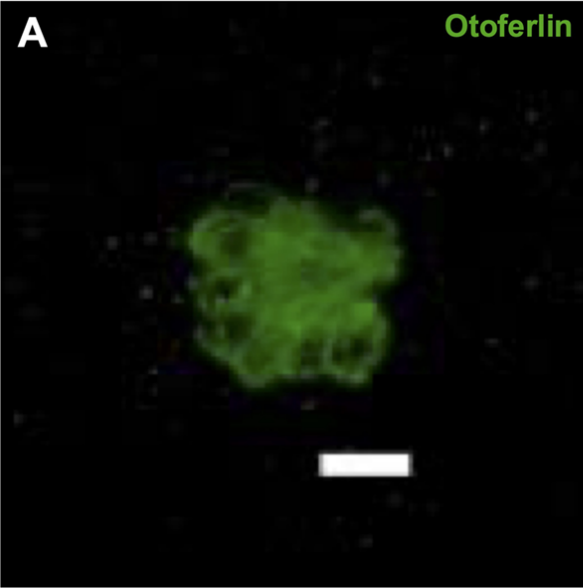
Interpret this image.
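A single compact, roughly round cluster of cells glows green against a dark field. Within it, many rounded cell outlines are drawn by brighter green rims, overlapping one another and packed tightly together like a small bouquet, with their bodies converging toward the middle of the cluster. Nothing else is labelled nearby apart from a few faint specks. This arrangement of a small, tight bundle of sensory cells fits a neuromast of the lateral line, and the outlined green cells within it are its hair cells.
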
